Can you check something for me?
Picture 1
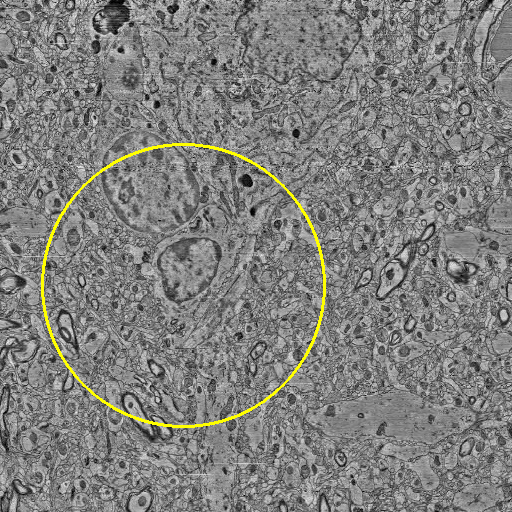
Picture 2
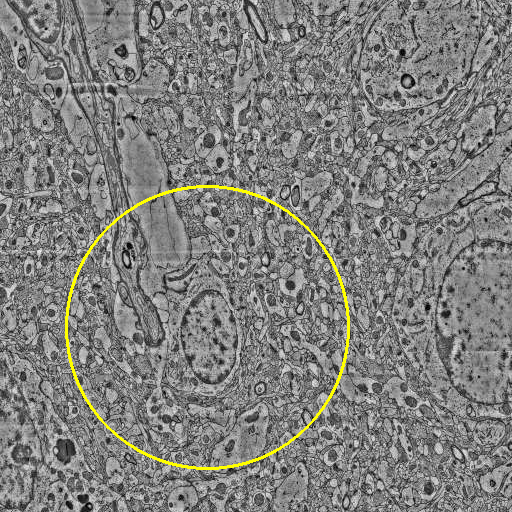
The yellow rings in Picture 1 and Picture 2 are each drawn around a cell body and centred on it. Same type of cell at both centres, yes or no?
yes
